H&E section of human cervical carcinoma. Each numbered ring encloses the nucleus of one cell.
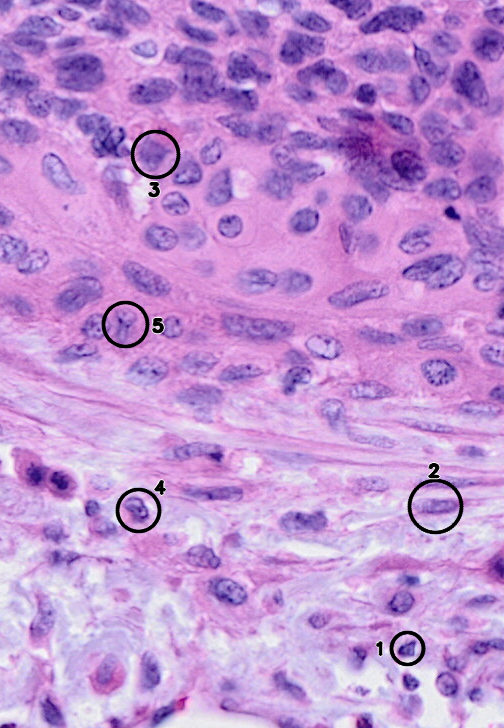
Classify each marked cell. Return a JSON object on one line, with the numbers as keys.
{"1": "lymphocyte", "2": "fibroblast", "3": "squamous carcinoma cell", "4": "macrophage or monocyte", "5": "squamous carcinoma cell"}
